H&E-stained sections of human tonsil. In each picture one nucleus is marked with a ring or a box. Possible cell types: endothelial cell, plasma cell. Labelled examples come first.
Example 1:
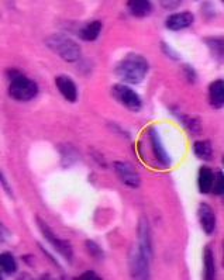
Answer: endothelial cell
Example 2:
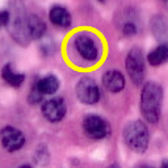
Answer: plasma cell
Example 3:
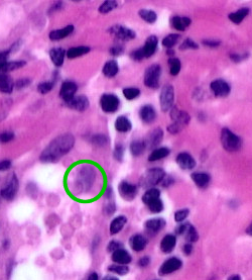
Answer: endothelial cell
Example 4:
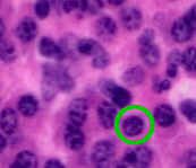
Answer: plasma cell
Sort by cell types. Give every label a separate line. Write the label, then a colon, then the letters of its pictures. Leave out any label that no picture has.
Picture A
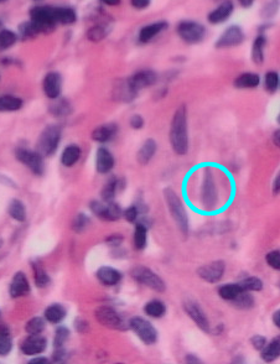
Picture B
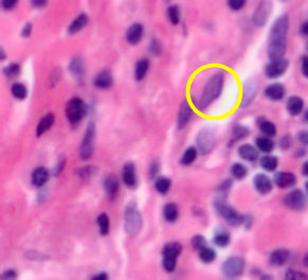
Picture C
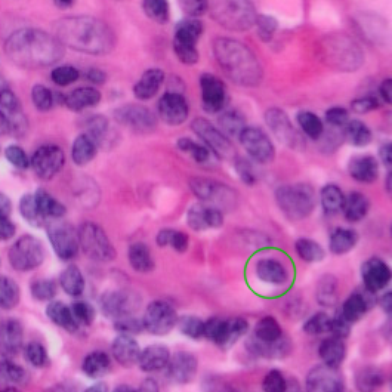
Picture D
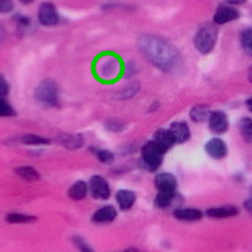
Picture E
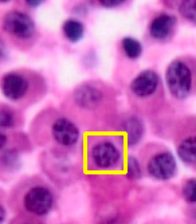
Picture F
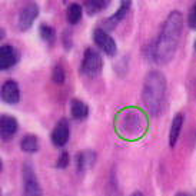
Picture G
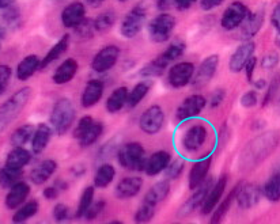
endothelial cell: A, B, C, D, F
plasma cell: E, G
